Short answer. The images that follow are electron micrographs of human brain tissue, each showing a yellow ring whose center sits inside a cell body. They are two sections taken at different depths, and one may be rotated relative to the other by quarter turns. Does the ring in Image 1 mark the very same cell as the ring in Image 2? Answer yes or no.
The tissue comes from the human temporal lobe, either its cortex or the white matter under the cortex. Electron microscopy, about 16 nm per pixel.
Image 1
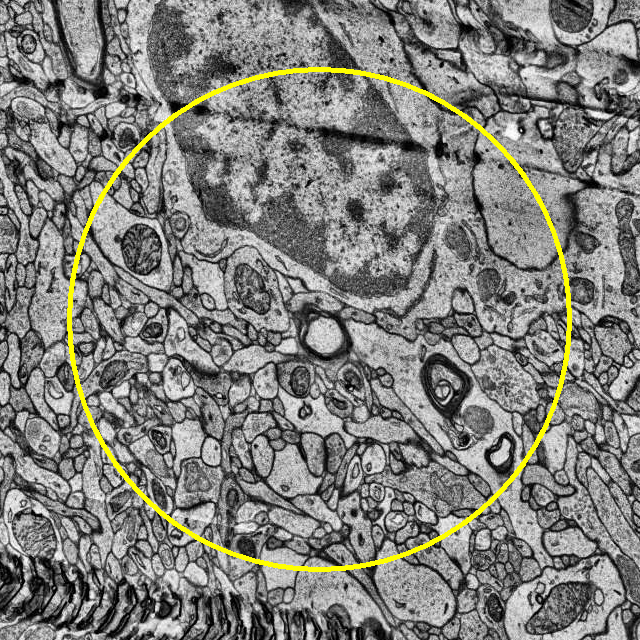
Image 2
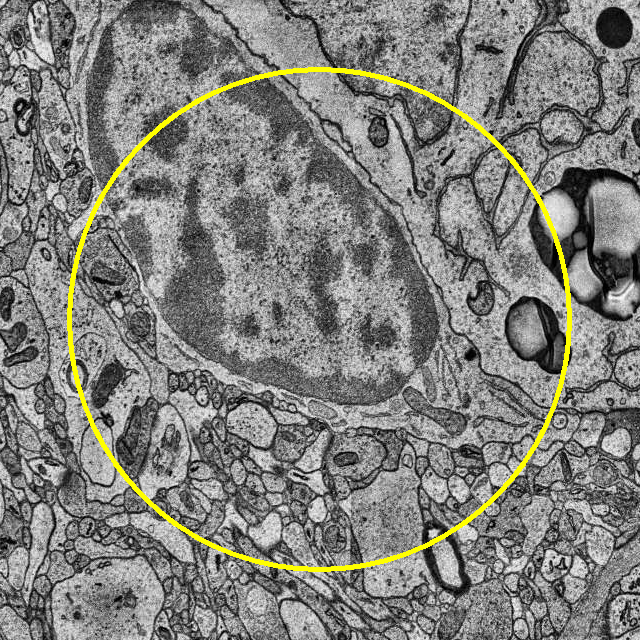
yes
